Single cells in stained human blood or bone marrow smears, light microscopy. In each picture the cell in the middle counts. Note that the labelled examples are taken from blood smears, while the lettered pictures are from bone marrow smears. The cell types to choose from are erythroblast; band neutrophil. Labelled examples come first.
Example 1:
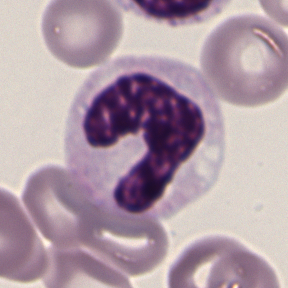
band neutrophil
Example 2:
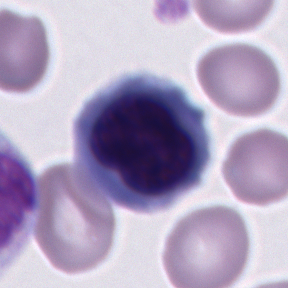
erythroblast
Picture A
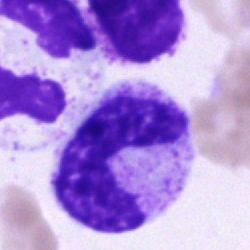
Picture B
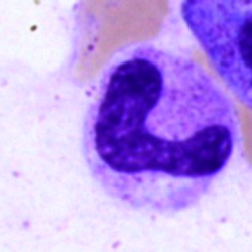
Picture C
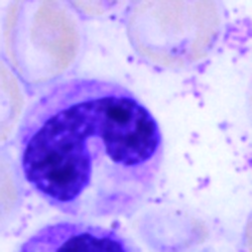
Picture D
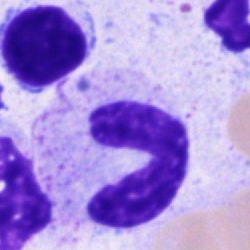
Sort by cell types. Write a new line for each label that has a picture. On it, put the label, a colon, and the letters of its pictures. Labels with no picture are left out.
band neutrophil: A, B, C, D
